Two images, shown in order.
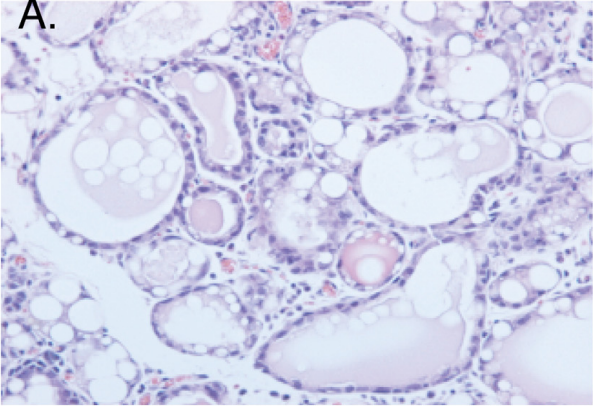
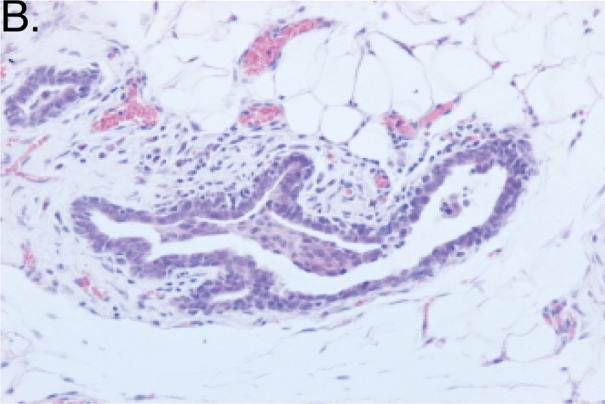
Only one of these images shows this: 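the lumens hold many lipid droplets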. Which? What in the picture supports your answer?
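The first image. First image: many dilated lumens filled with pink material containing numerous round clear vacuoles.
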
